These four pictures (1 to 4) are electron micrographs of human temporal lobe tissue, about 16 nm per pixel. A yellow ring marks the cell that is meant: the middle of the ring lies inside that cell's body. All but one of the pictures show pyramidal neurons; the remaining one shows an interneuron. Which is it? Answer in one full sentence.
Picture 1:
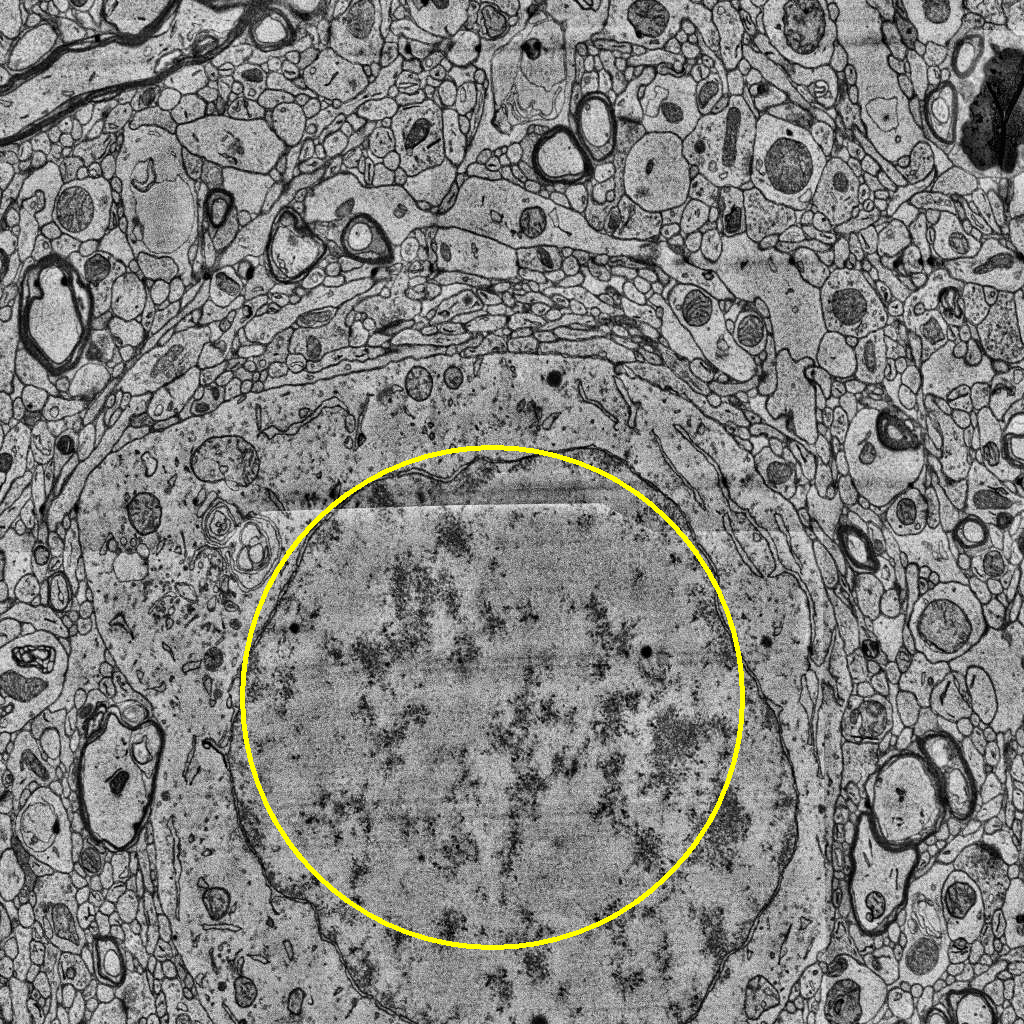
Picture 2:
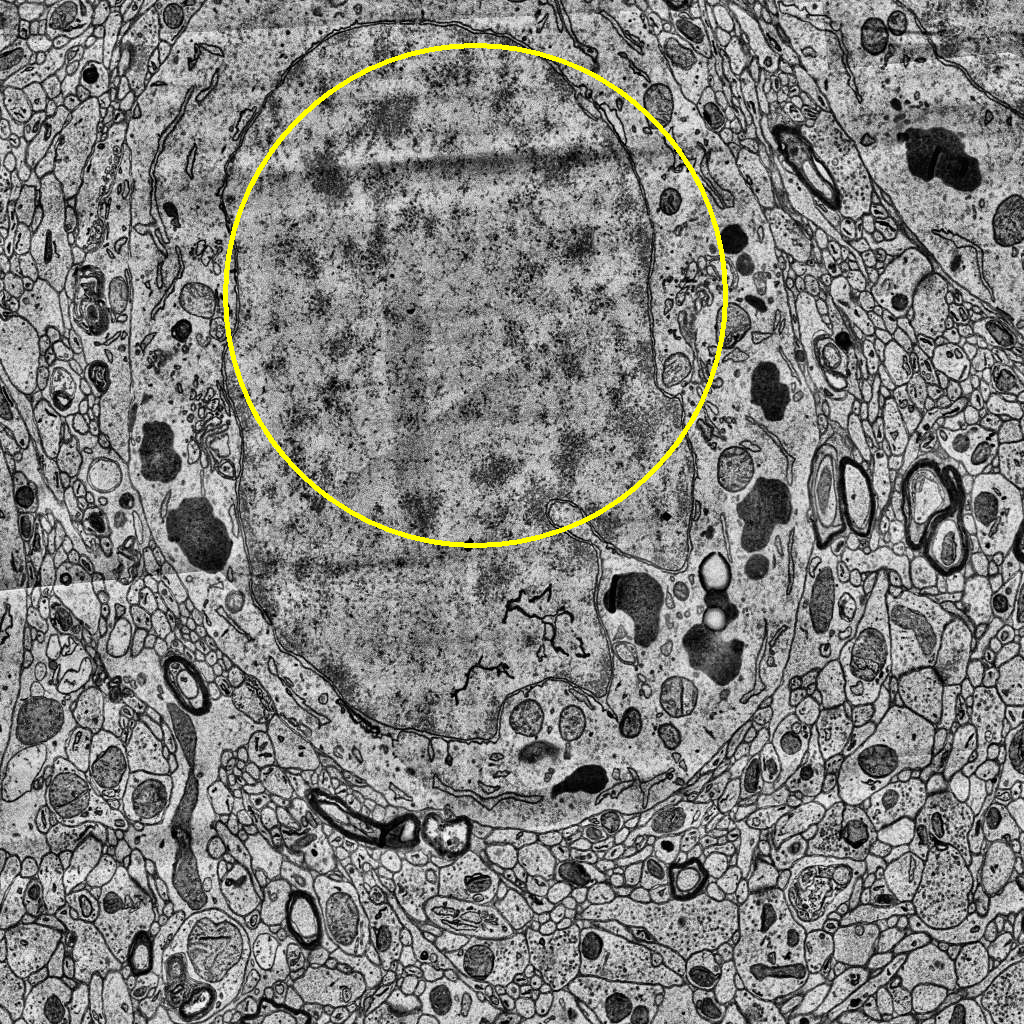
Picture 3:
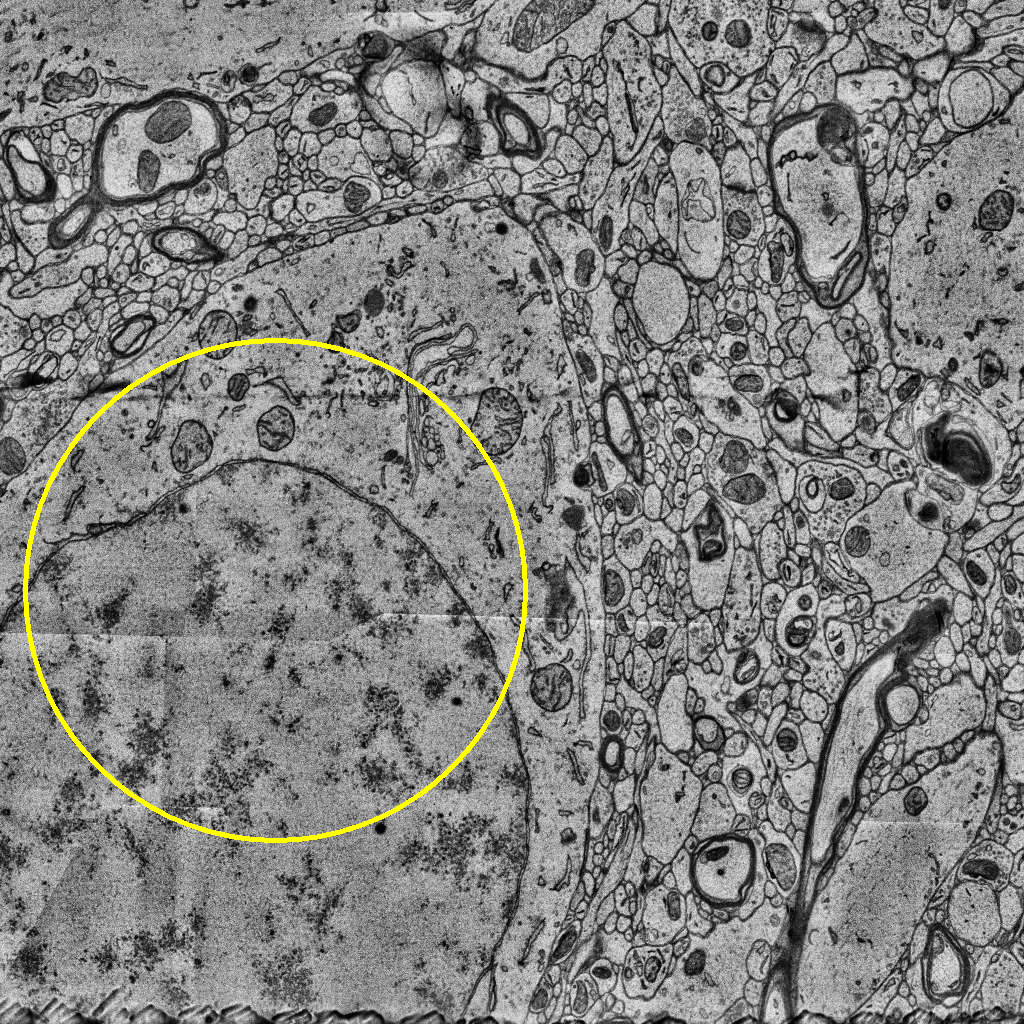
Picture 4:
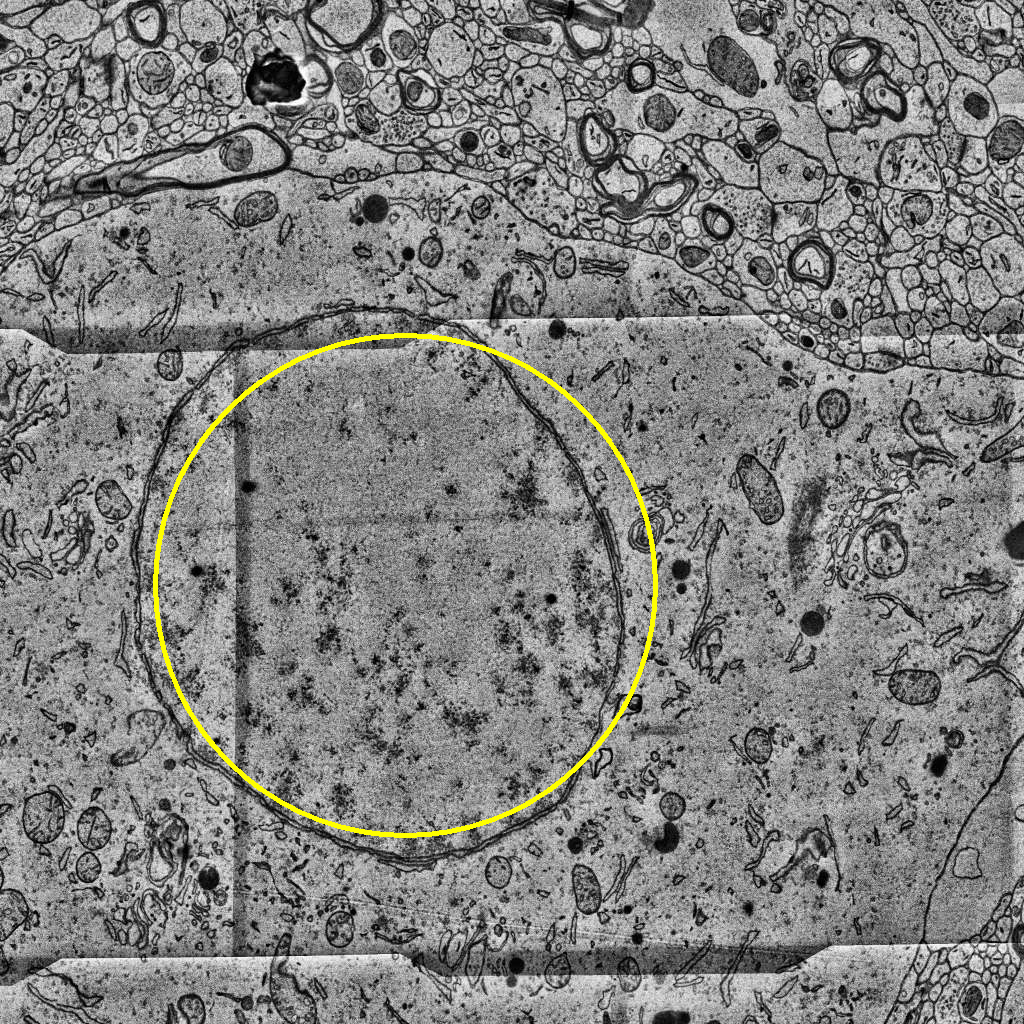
The interneuron is the one in picture 2.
